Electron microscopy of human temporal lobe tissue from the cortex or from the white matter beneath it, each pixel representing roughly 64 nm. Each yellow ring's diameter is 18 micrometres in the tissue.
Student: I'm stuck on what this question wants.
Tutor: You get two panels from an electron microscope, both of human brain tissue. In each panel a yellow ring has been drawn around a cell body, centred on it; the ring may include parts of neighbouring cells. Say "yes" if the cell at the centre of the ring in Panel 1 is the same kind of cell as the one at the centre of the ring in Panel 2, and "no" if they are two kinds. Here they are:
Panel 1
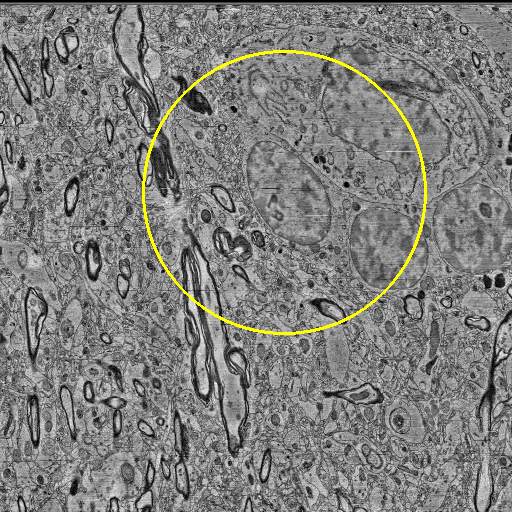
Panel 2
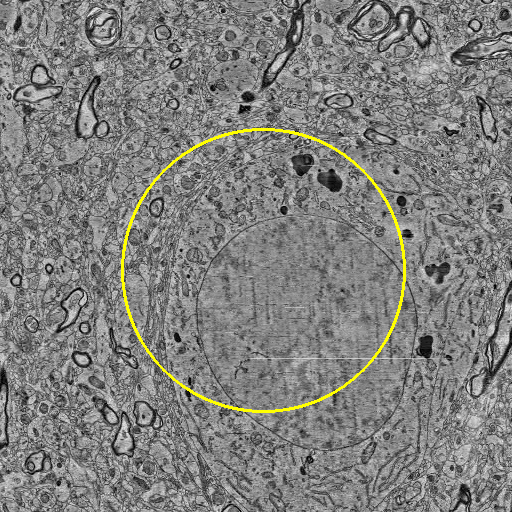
no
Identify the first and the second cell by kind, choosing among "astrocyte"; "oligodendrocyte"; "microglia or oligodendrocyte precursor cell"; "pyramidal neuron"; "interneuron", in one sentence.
The one in the first picture is an oligodendrocyte, while the one in the second is a pyramidal neuron.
